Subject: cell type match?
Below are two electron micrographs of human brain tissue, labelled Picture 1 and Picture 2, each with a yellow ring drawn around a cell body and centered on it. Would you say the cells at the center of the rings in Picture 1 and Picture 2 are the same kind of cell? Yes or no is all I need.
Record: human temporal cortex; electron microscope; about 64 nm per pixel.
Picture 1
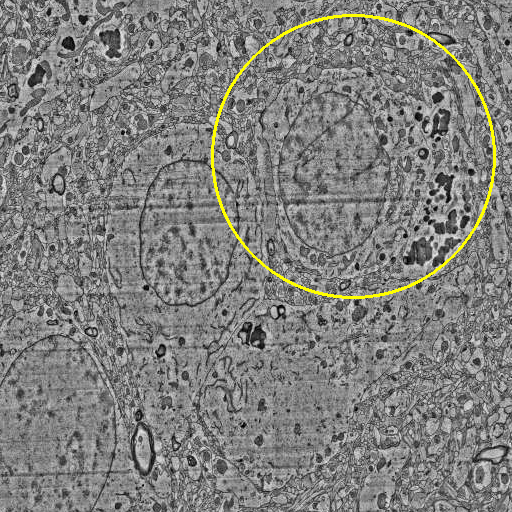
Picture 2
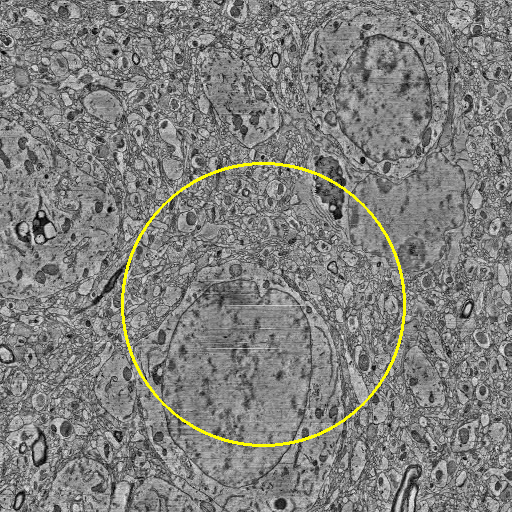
no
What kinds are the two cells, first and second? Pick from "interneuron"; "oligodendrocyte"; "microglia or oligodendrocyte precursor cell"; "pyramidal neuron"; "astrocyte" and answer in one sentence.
The second picture holds a pyramidal neuron in its ring, and the first holds an interneuron.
